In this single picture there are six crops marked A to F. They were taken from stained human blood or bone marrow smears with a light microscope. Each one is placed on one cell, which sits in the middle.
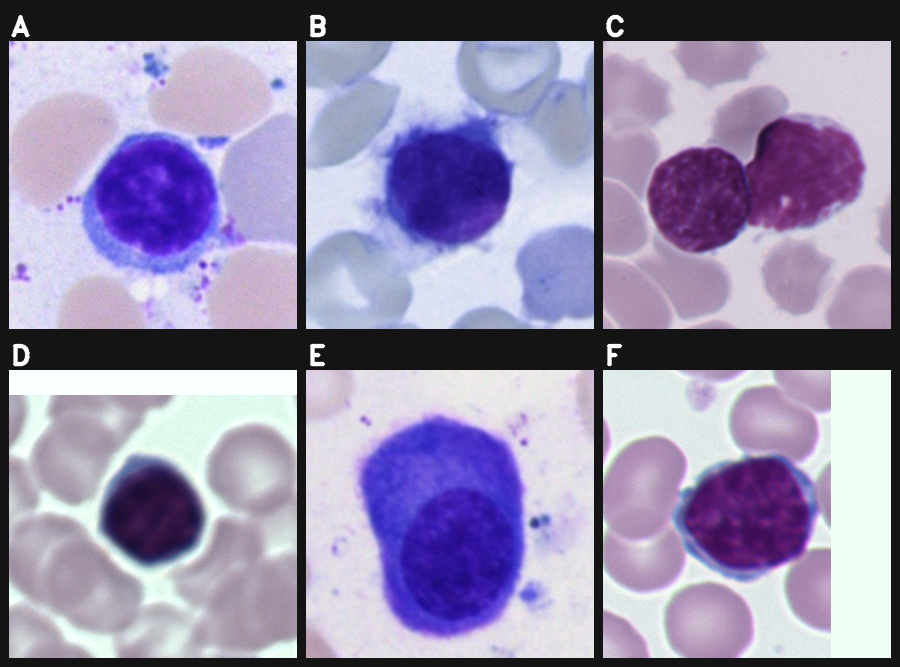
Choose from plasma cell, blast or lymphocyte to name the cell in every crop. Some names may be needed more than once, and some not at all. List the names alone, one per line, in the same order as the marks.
lymphocyte
lymphocyte
blast
lymphocyte
plasma cell
lymphocyte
